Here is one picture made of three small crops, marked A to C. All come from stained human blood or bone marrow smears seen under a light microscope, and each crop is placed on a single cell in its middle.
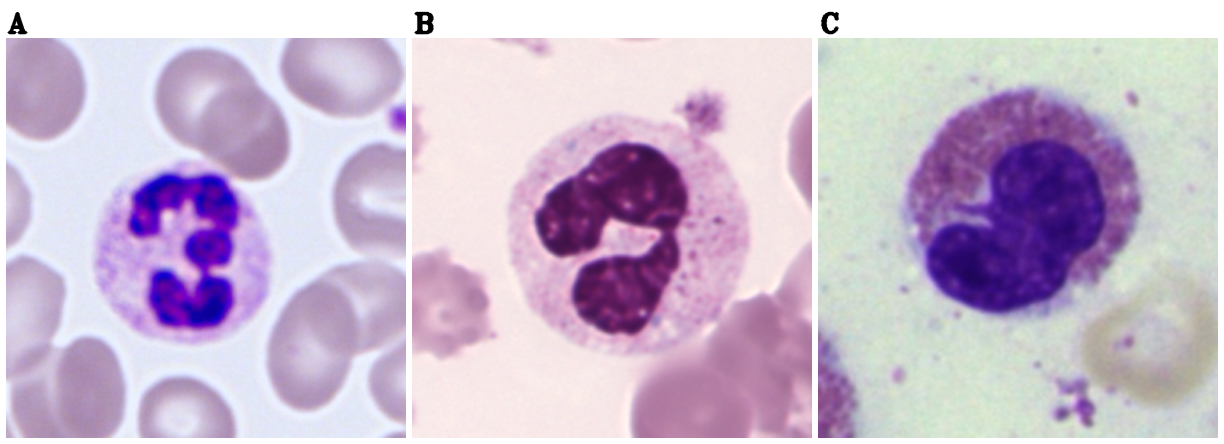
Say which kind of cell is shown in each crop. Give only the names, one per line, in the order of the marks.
neutrophil
neutrophil
eosinophil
